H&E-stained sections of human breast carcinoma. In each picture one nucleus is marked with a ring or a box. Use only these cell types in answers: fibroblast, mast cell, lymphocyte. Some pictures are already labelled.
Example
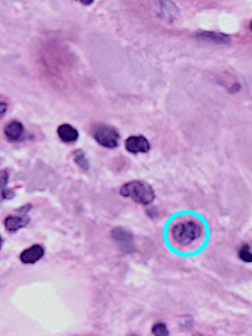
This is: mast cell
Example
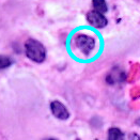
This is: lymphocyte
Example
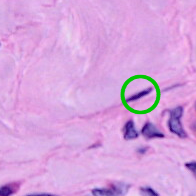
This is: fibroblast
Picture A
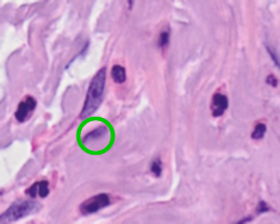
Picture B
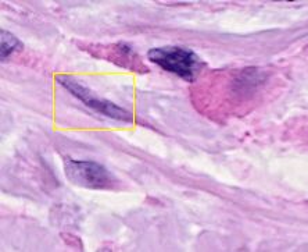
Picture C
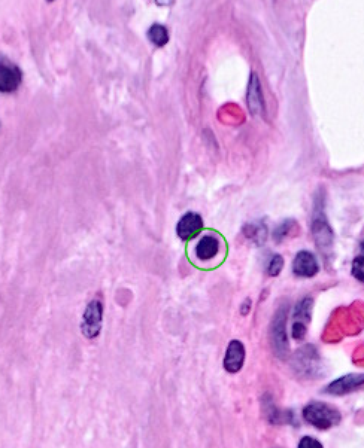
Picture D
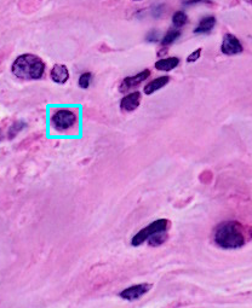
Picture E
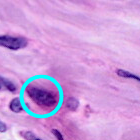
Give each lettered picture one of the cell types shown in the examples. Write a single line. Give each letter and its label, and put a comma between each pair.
A fibroblast, B fibroblast, C lymphocyte, D mast cell, E mast cell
